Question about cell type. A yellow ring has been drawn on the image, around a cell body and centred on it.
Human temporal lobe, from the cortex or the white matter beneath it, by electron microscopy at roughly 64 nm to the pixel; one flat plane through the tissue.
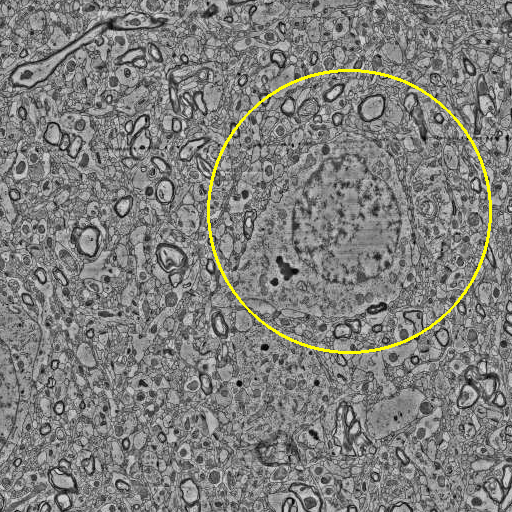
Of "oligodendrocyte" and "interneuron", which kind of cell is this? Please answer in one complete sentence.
At the centre of the ring lies an interneuron.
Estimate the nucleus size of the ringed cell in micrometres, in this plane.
The nucleus measures about 8 by 7 micrometres in this plane.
